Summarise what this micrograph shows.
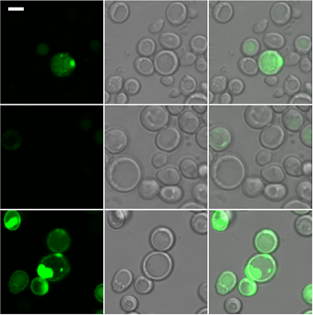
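These are yeast cells, small round to oval single cells seen by fluorescence, in bright field and in an overlay. Only some of the cells glow green. In the top and middle rows the green is faint or confined to one or two cells, often as a bright patch inside the cell. In the bottom row more cells are green, with fluorescence tracing the cell edge as well as filling rounded areas within, and the overlay shows the green matching particular cells of the bright-field image.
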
